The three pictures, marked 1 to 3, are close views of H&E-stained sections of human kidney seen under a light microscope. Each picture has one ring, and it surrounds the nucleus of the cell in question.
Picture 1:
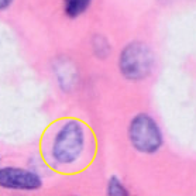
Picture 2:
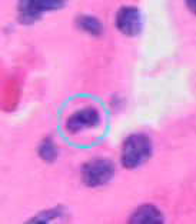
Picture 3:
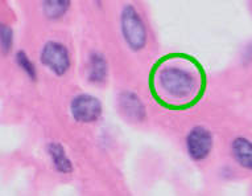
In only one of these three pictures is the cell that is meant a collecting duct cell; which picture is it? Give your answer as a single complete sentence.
It is picture 1 that shows the collecting duct cell.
